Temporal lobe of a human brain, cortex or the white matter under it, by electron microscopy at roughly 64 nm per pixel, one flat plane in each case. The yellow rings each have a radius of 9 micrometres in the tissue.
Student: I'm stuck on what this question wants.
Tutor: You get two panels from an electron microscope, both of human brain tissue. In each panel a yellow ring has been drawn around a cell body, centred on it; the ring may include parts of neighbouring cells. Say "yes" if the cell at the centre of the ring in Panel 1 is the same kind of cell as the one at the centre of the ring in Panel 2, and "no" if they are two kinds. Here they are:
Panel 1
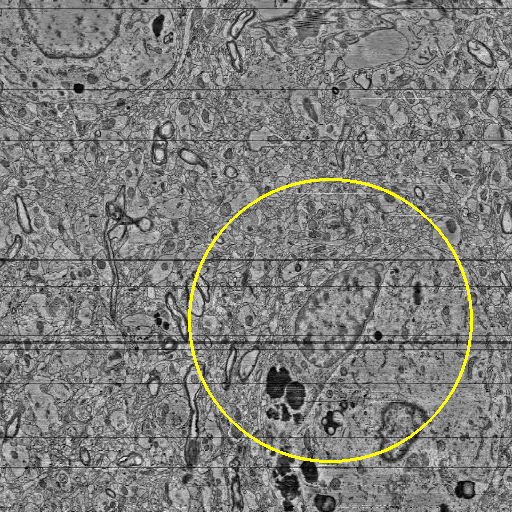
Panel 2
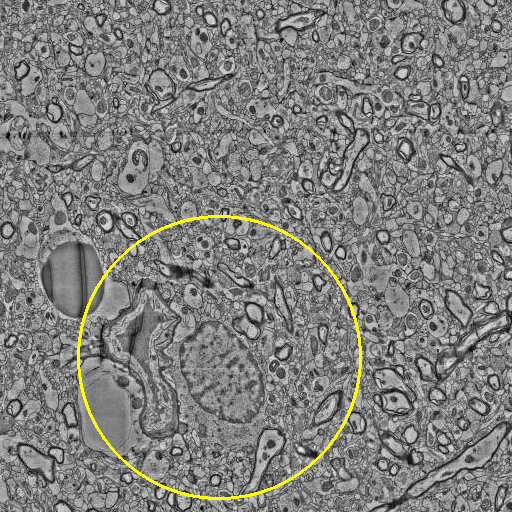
yes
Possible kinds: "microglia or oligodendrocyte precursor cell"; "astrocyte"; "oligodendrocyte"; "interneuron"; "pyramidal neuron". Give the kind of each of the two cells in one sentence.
Each of the two cells is an oligodendrocyte.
